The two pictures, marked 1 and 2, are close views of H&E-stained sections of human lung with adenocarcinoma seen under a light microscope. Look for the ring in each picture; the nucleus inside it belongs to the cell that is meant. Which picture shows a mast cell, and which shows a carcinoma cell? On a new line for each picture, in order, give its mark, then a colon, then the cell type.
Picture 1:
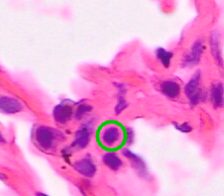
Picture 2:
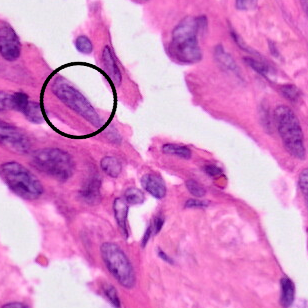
1: mast cell
2: carcinoma cell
